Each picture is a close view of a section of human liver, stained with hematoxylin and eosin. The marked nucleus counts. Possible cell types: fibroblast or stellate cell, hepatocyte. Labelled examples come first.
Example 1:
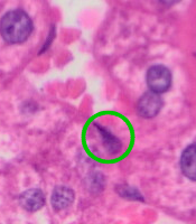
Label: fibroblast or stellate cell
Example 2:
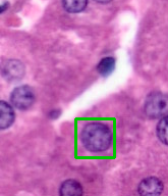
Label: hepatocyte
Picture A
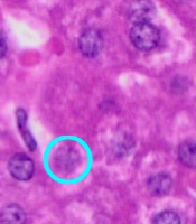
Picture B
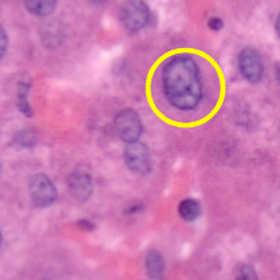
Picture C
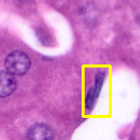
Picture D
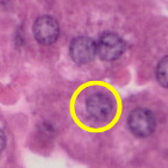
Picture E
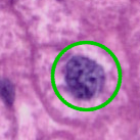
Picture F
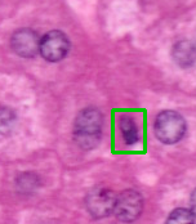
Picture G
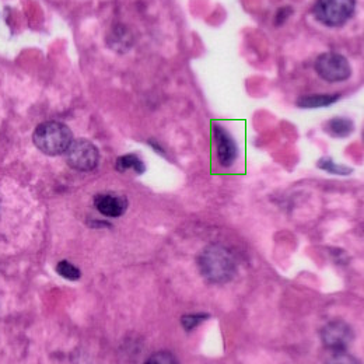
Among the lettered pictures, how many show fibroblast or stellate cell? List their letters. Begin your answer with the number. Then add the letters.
3, namely C, F, G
